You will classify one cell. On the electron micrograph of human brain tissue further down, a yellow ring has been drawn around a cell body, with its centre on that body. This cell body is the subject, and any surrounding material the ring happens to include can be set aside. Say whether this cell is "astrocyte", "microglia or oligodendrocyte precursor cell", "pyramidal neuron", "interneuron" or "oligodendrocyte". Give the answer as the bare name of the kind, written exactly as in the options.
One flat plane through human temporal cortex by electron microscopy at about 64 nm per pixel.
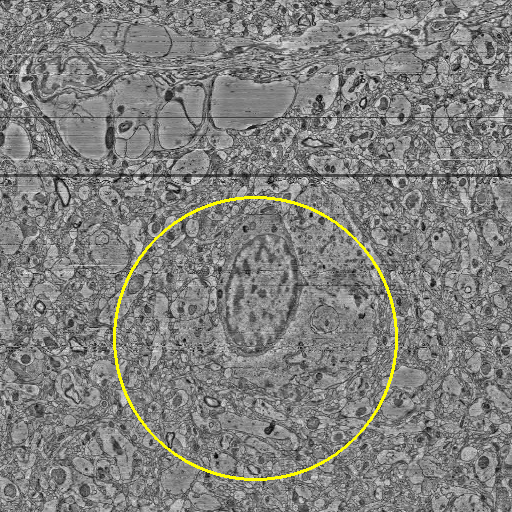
oligodendrocyte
